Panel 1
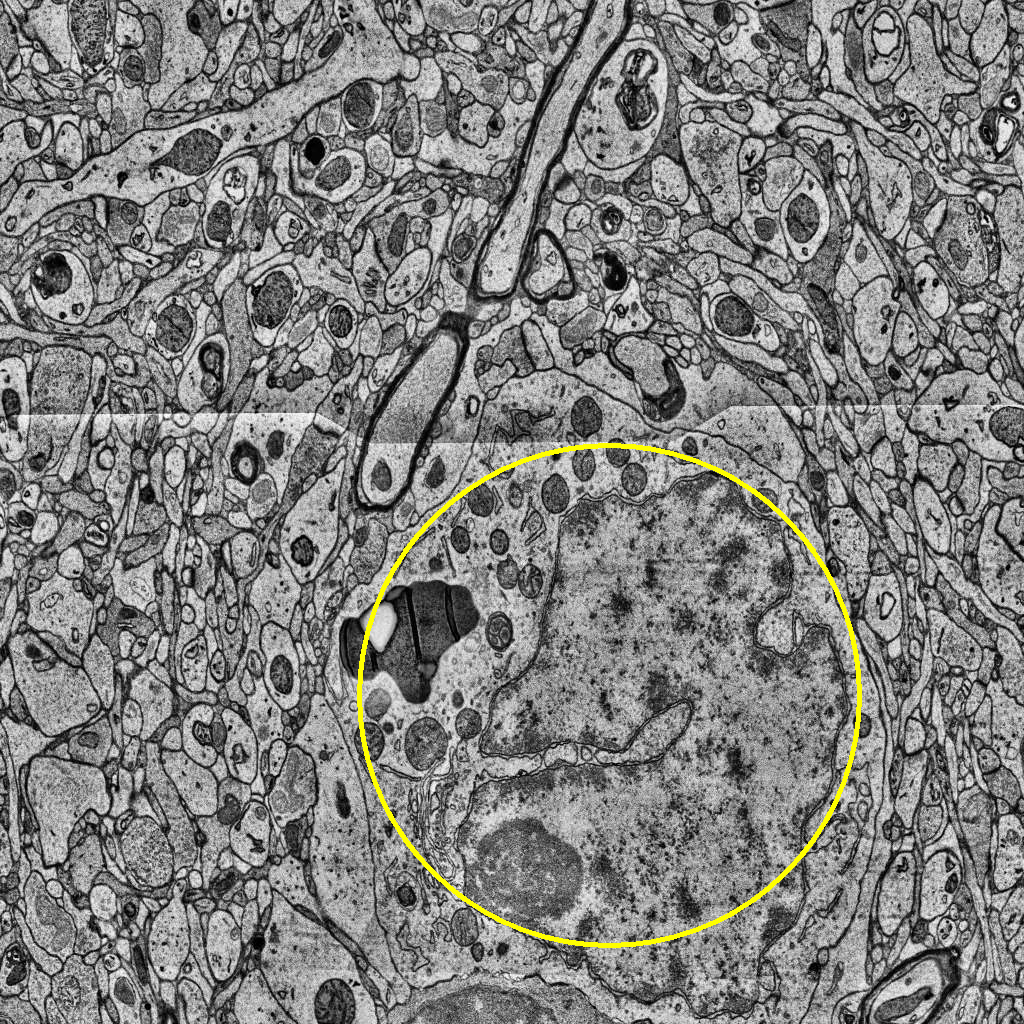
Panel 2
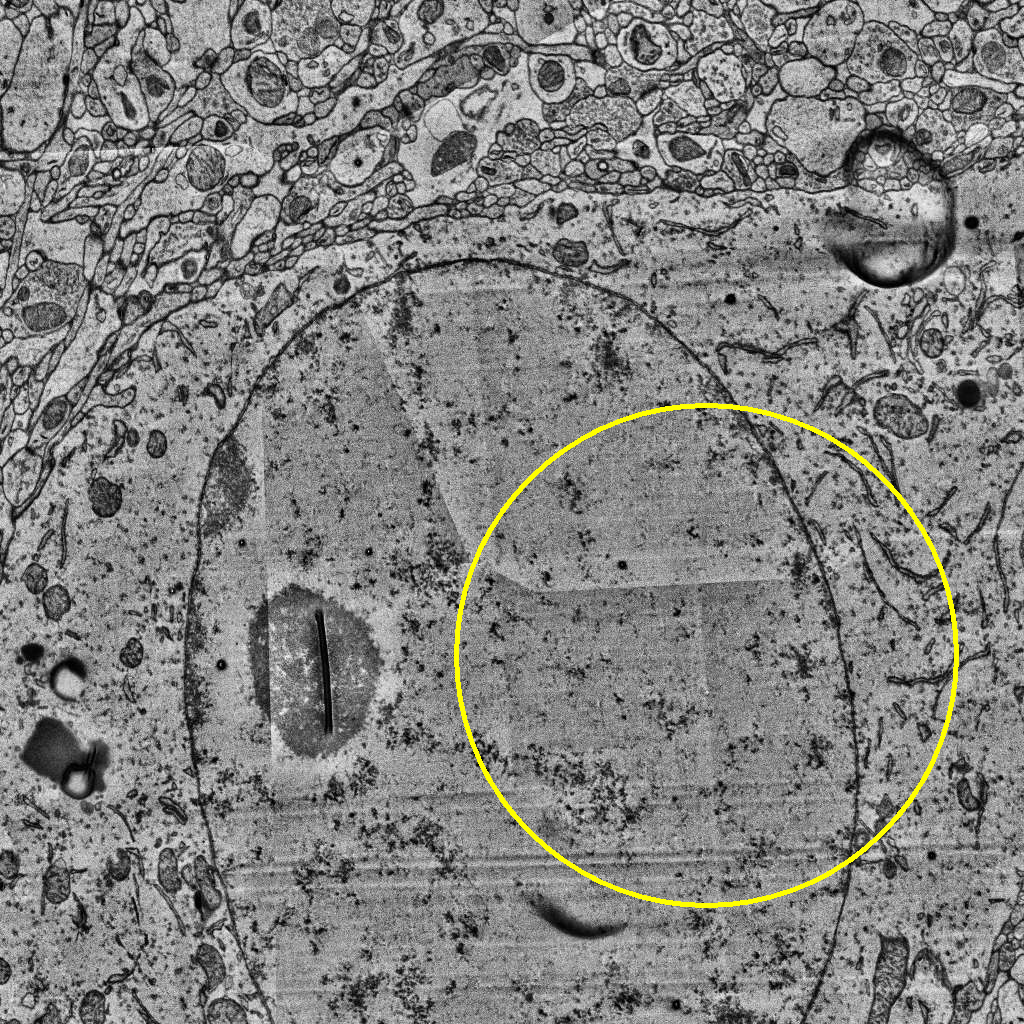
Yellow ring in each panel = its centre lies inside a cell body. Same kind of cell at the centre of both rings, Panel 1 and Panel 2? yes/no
no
